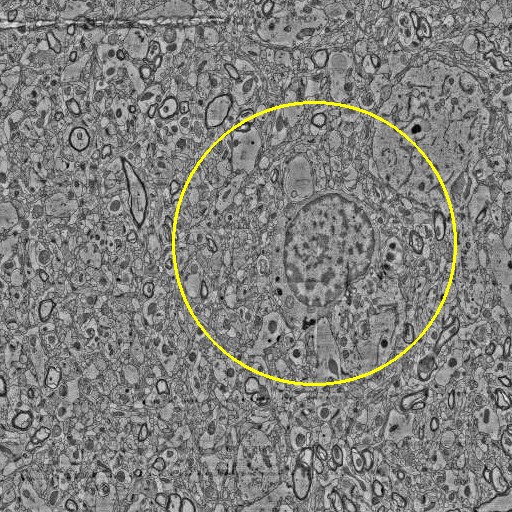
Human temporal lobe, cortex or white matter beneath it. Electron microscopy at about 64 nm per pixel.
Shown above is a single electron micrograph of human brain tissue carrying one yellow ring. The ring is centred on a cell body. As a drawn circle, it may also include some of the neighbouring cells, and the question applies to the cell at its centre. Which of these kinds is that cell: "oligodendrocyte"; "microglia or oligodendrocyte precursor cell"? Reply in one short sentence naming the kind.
The cell marked by the ring is an oligodendrocyte.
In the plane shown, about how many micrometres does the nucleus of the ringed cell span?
Roughly 7 by 6 micrometres is the size of the nucleus in this plane.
